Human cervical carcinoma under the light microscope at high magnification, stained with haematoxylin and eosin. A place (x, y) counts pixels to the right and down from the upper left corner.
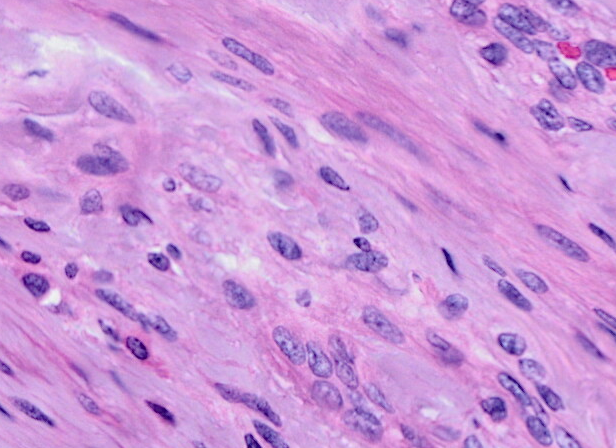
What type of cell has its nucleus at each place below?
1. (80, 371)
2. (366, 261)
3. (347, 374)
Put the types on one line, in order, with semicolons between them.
smooth muscle cell; fibroblast; endothelial cell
